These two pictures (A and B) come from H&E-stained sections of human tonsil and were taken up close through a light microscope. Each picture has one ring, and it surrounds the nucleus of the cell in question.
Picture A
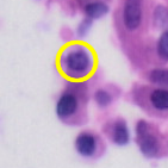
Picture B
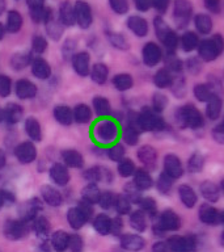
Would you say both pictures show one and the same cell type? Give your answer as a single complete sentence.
No, the types are not the same, since picture A shows a plasma cell and picture B a small lymphocyte.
